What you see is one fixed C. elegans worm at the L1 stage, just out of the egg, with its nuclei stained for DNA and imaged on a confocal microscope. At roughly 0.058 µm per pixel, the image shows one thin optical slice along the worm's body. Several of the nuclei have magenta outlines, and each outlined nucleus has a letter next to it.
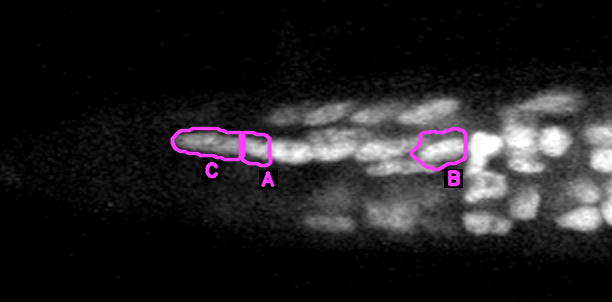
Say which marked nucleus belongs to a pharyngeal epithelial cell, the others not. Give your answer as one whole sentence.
C is the nucleus of a pharyngeal epithelial cell.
